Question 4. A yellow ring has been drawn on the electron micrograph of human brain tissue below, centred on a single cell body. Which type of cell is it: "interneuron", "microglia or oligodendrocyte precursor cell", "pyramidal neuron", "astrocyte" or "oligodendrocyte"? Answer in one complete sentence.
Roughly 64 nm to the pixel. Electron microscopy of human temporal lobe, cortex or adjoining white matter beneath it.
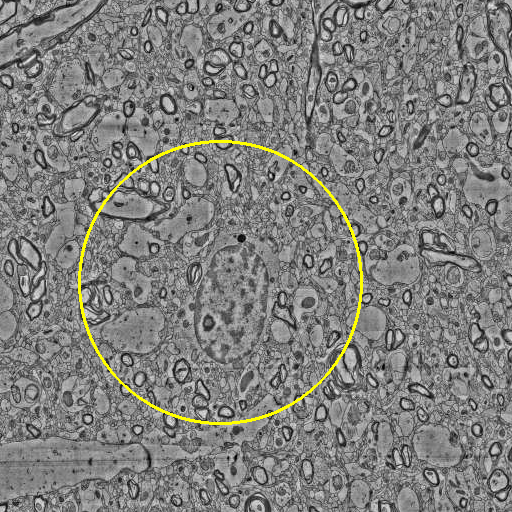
This cell body belongs to an oligodendrocyte.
